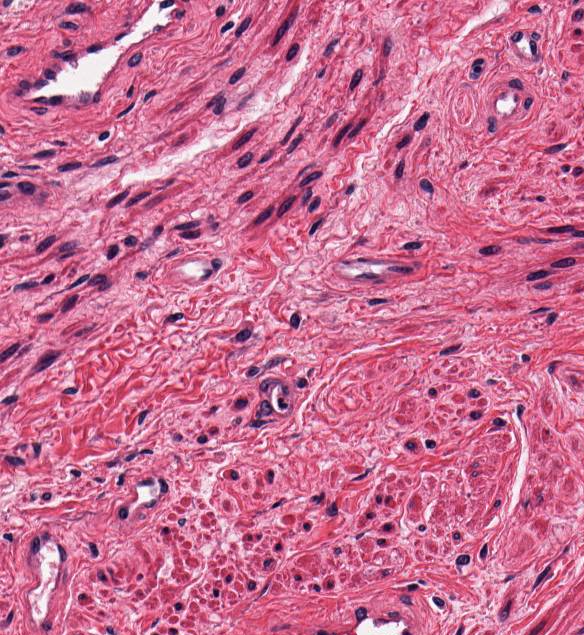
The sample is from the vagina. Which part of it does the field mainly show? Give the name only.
smooth muscle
